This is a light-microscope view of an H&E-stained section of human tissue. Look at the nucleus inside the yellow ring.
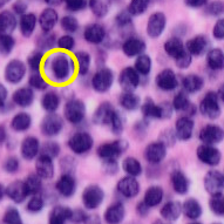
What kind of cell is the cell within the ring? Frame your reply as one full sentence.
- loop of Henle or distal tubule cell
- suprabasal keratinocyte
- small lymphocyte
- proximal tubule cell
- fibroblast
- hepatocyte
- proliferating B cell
In this field of tissue, the cell within the ring is a small lymphocyte.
